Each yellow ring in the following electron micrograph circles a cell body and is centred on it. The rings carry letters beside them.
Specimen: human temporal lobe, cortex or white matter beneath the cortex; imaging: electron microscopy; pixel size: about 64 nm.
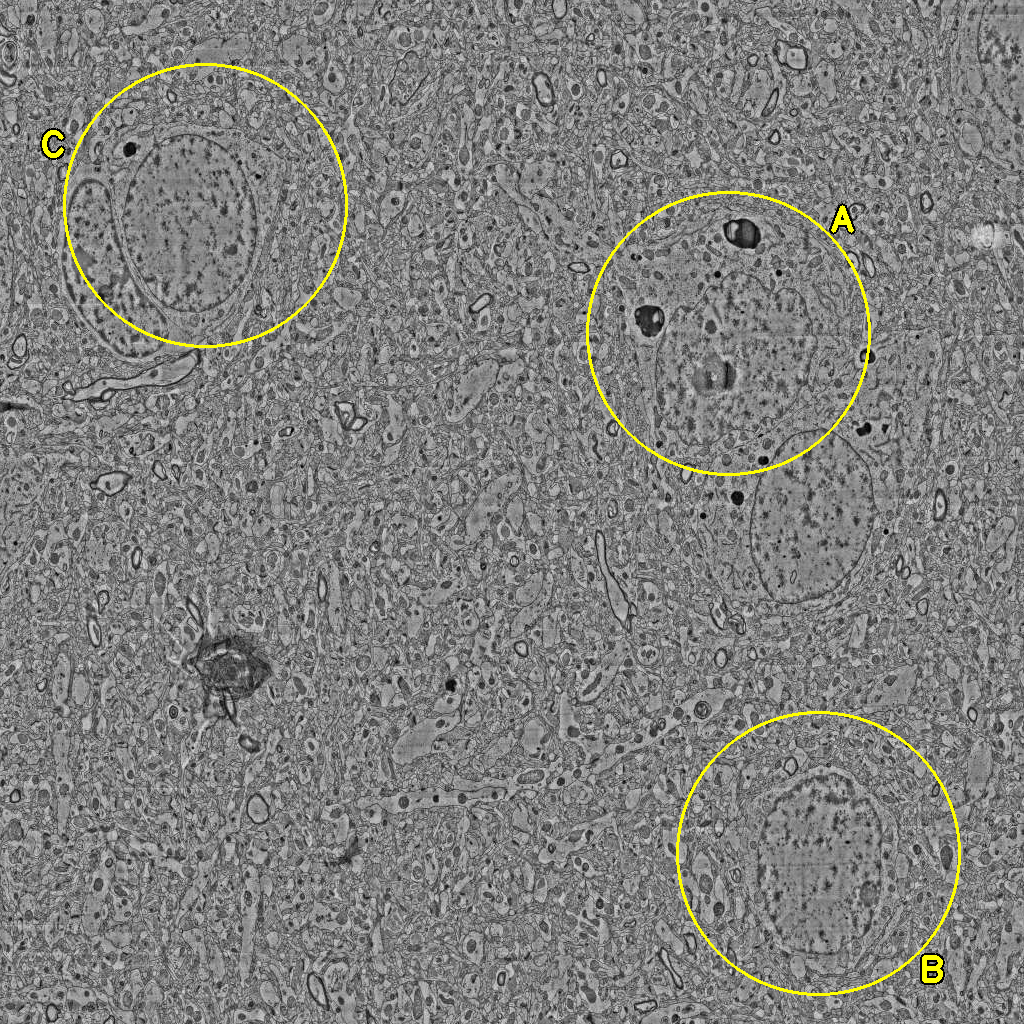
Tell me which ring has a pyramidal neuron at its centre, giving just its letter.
C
